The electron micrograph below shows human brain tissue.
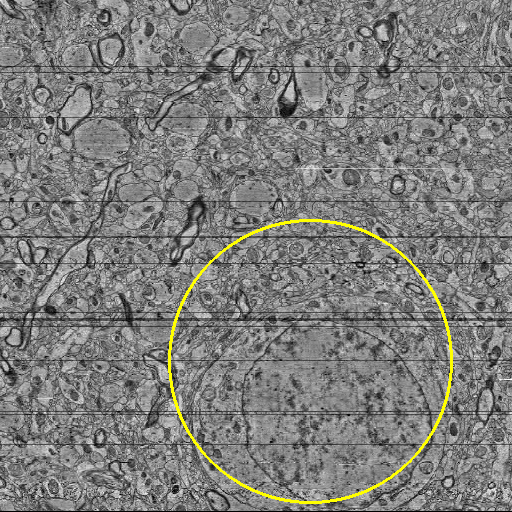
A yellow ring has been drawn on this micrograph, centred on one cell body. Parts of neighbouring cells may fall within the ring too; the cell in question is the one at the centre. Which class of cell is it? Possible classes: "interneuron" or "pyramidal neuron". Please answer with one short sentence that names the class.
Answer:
In the centre of the ring sits a pyramidal neuron.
